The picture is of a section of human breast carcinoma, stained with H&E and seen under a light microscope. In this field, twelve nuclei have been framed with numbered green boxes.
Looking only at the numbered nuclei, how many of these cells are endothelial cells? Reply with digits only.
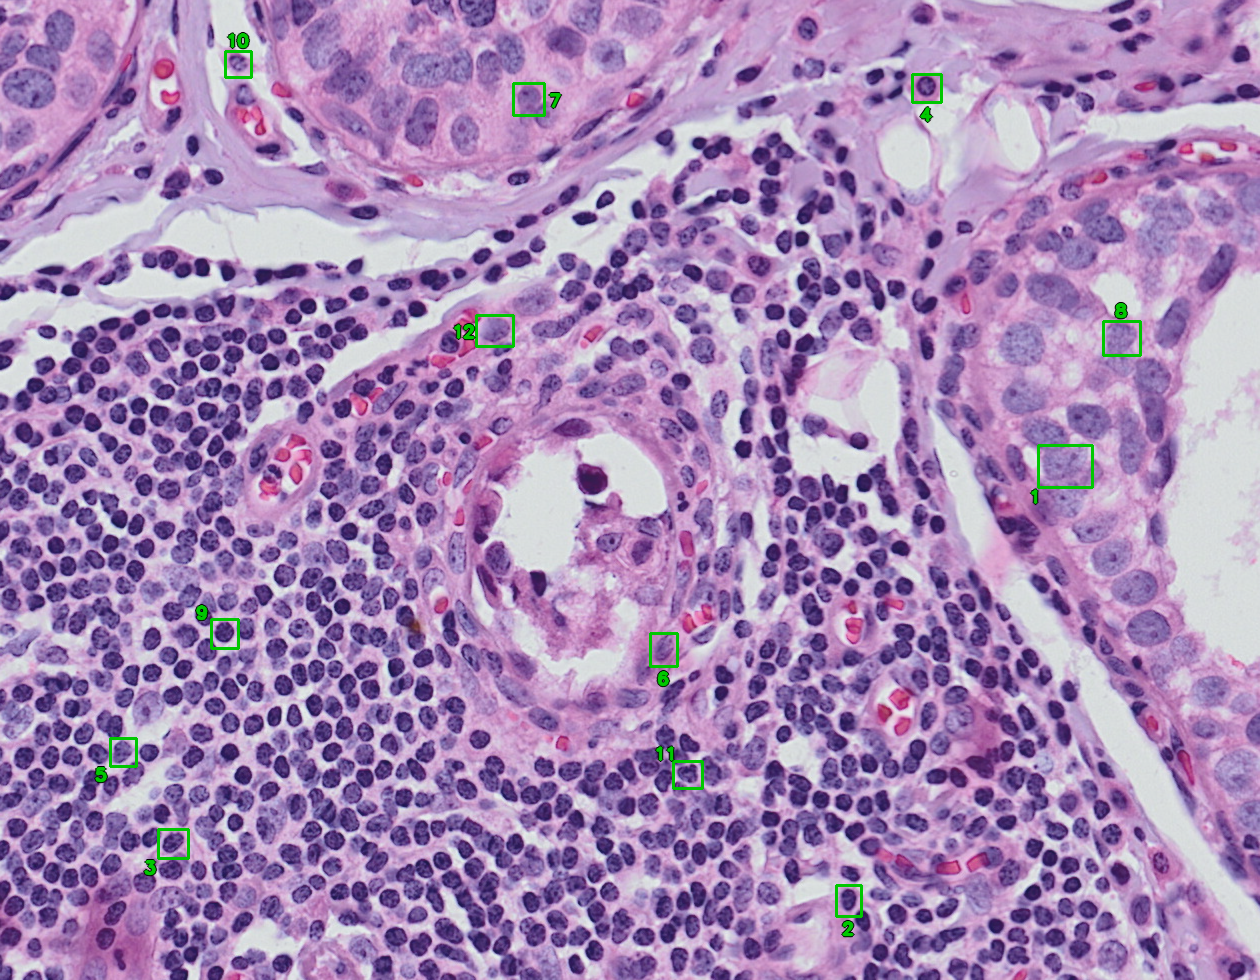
2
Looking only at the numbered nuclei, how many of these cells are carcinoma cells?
3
